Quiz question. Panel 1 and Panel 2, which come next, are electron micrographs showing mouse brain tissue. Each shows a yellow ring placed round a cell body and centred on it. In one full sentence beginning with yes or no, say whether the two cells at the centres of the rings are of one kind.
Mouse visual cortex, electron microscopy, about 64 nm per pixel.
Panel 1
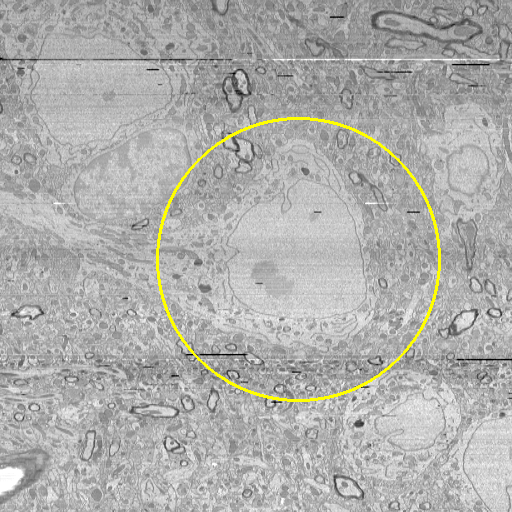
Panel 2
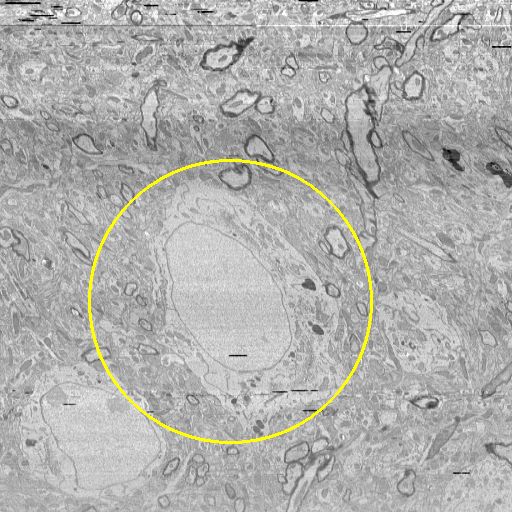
Yes, Panel 1 and Panel 2 show one kind of cell at the centre of the ring.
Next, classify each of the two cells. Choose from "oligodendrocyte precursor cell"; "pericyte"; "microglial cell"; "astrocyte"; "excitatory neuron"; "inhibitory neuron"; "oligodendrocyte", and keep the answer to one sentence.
Both rings mark an excitatory neuron, one in each picture.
